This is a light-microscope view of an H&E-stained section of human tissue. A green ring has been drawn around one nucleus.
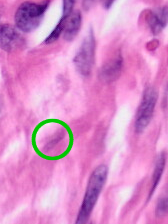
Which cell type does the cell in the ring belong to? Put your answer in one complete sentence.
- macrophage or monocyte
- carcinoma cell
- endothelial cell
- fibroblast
The cell in the ring appears to be a fibroblast.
